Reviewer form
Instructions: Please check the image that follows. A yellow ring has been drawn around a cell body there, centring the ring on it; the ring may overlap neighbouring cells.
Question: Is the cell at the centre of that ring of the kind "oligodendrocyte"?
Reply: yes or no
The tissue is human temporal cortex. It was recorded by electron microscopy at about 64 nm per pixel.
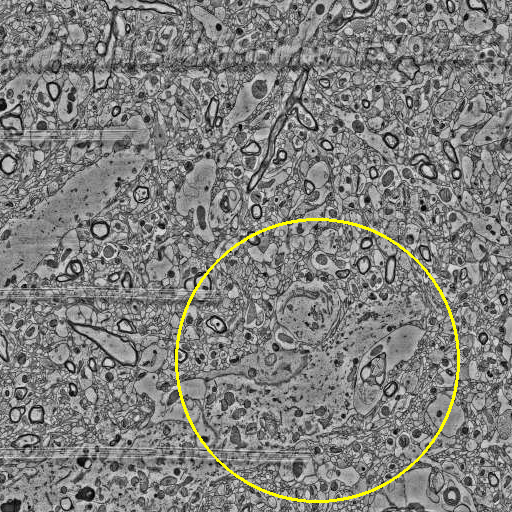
yes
